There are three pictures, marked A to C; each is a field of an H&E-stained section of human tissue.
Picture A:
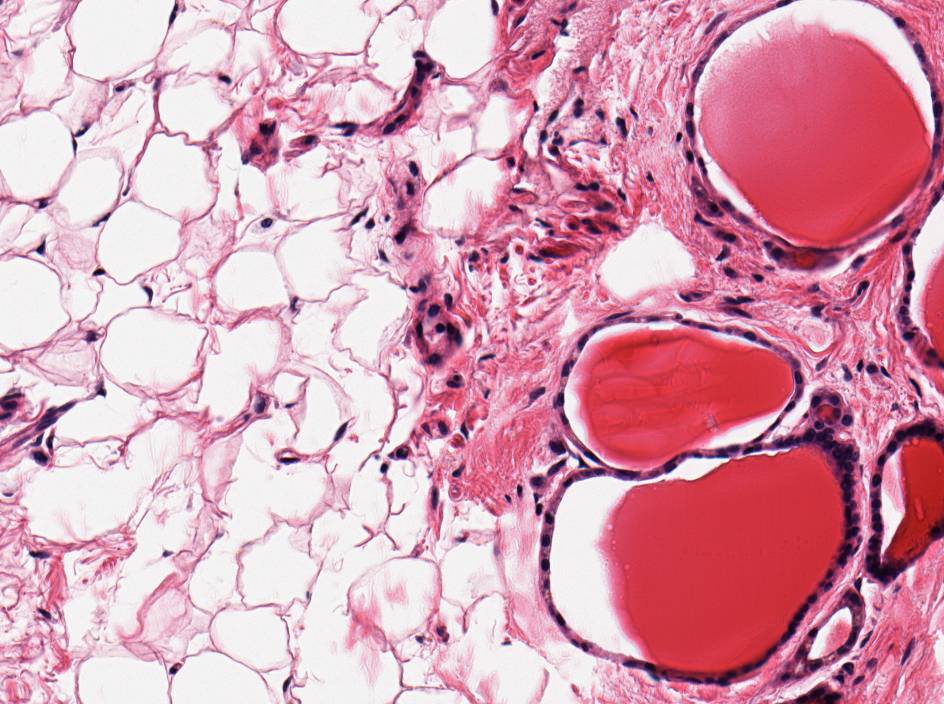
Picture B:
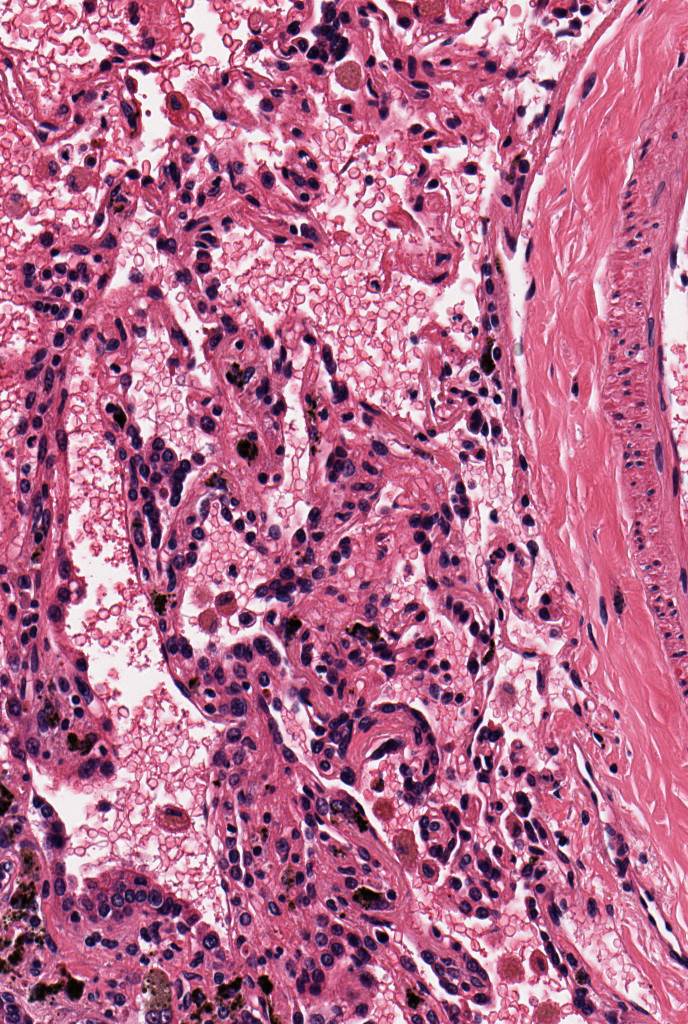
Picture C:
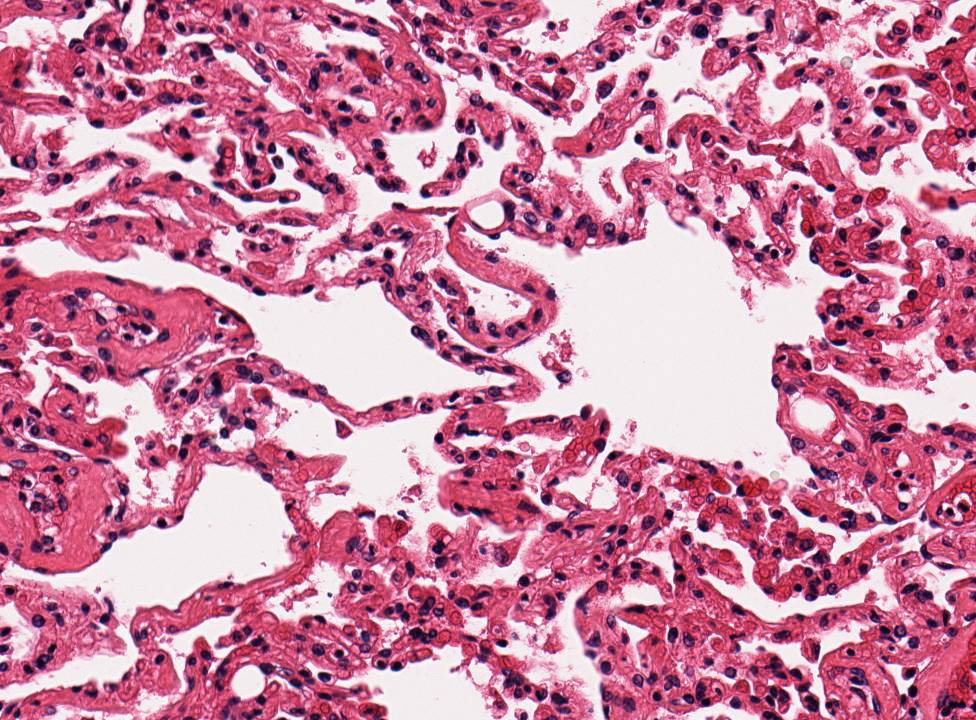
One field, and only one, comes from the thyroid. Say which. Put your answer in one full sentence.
Picture A is the field that comes from the thyroid.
